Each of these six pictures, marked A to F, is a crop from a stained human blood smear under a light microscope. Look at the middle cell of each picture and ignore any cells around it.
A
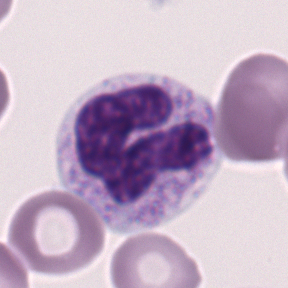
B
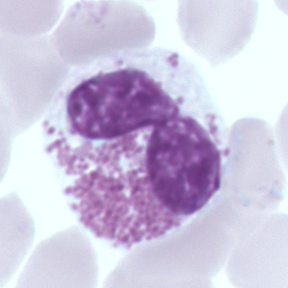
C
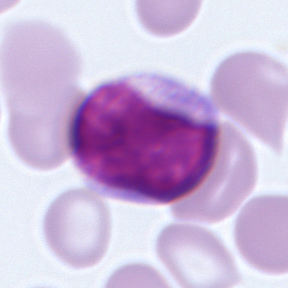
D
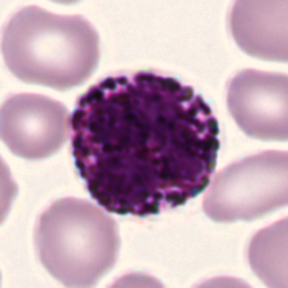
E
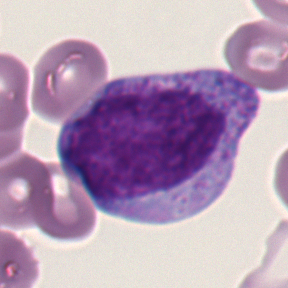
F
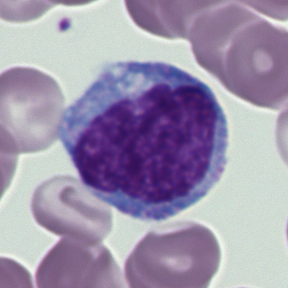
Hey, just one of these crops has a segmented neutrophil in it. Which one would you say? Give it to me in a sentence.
Crop A is the crop featuring a segmented neutrophil at its center.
